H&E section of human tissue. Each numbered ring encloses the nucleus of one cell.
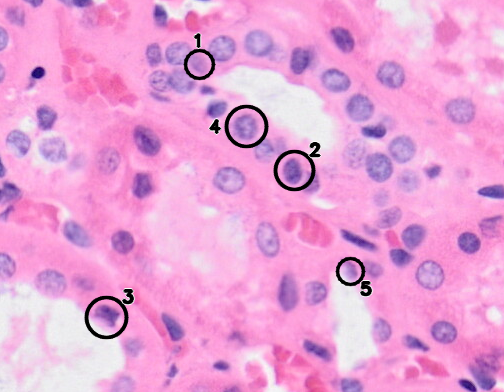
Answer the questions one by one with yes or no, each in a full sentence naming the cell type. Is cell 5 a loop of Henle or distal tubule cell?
Yes, regarding cell number 5, it is a loop of Henle or distal tubule cell.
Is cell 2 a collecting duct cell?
Yes, cell number 2 in this section is a collecting duct cell.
